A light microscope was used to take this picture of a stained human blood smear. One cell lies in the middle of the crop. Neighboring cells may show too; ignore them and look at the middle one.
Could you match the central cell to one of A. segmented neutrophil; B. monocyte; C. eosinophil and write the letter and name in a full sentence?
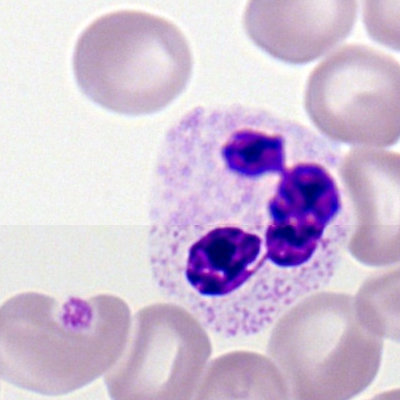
The one cell at the centre is a segmented neutrophil, as correctly stated in option A.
